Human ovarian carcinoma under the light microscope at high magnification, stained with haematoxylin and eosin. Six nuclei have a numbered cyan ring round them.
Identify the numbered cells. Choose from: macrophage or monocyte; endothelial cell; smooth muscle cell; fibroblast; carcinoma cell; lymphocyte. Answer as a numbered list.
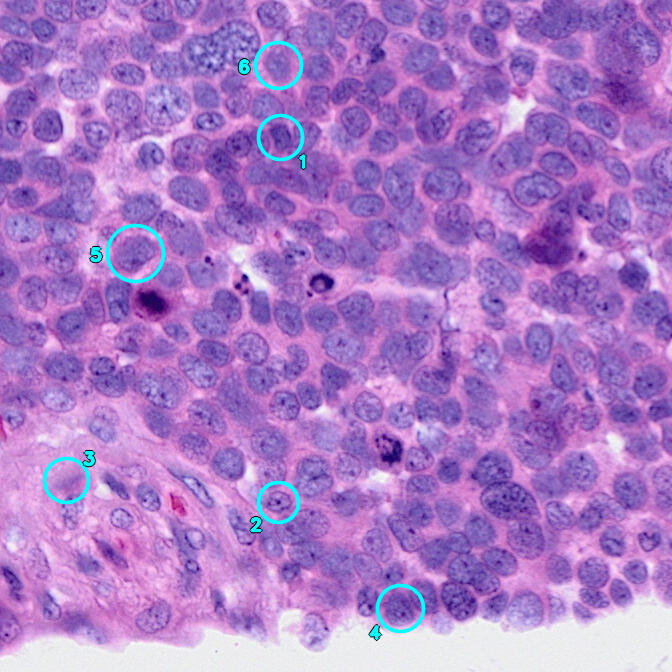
1. carcinoma cell
2. macrophage or monocyte
3. fibroblast
4. carcinoma cell
5. carcinoma cell
6. carcinoma cell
